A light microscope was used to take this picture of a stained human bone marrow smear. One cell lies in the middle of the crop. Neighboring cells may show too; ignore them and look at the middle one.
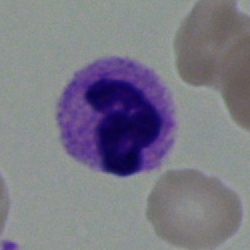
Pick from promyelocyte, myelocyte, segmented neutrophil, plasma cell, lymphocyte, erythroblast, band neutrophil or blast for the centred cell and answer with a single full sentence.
Here the centrally located cell is a segmented neutrophil.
